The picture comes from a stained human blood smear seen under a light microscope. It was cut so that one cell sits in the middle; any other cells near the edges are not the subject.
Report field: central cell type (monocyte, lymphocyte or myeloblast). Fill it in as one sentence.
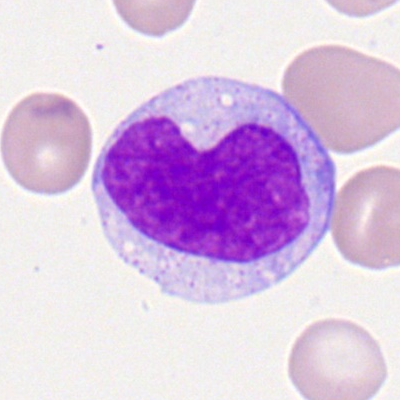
Of the cells in this crop, the central one is a monocyte.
